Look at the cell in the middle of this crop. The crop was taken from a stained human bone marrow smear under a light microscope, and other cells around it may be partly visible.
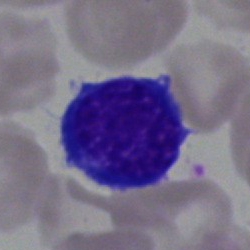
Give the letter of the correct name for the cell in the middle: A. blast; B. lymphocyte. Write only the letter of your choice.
B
